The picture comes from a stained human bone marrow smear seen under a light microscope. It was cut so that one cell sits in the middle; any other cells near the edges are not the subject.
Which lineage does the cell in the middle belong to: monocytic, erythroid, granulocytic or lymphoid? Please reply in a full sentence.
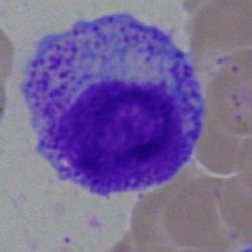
It is to the granulocytic lineage that the middle cell belongs.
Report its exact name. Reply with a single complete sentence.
The cell shown in the center of this light-microscope crop is a myelocyte.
